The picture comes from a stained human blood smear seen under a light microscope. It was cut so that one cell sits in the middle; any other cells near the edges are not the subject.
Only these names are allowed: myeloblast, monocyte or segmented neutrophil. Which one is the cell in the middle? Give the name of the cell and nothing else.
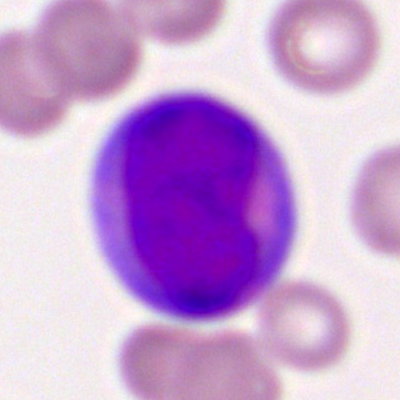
myeloblast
